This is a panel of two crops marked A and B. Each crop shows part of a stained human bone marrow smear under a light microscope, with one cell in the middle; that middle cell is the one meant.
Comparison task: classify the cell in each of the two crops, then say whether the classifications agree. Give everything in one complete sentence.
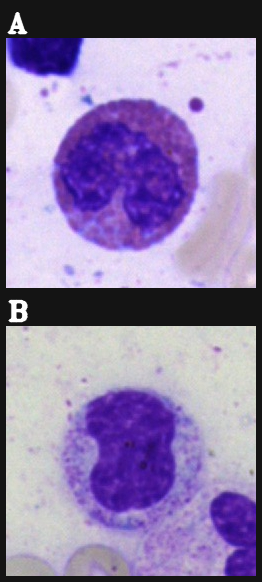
No, crop A offers an eosinophil, while crop B offers a metamyelocyte.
